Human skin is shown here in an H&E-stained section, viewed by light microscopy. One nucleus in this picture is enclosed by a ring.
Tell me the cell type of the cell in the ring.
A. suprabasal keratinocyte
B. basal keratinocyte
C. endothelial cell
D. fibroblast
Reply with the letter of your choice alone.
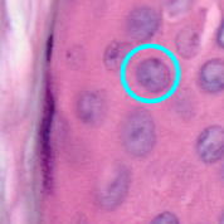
A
